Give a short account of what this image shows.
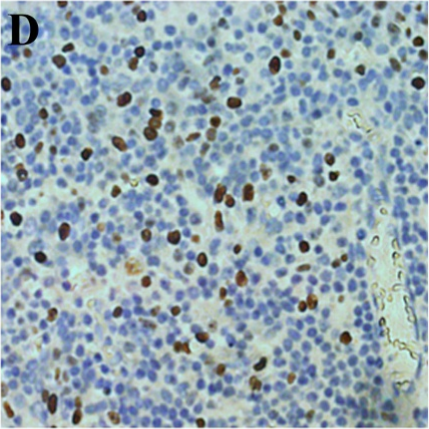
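Scattered among them are individual nuclei stained dark brown, spread throughout the field. The cells form solid sheets without glands or distinct layers. A thin vessel-like outline runs along the right edge.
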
